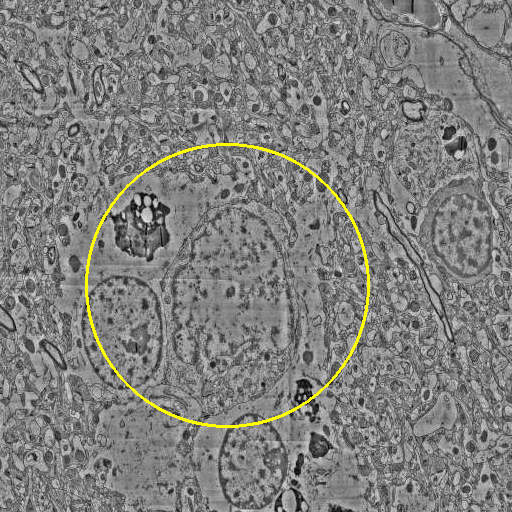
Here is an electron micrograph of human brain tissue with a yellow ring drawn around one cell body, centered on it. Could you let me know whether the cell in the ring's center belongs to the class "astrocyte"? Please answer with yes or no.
no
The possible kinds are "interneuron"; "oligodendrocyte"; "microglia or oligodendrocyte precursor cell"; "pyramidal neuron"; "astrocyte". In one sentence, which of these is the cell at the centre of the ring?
The cell this ring marks is an interneuron.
